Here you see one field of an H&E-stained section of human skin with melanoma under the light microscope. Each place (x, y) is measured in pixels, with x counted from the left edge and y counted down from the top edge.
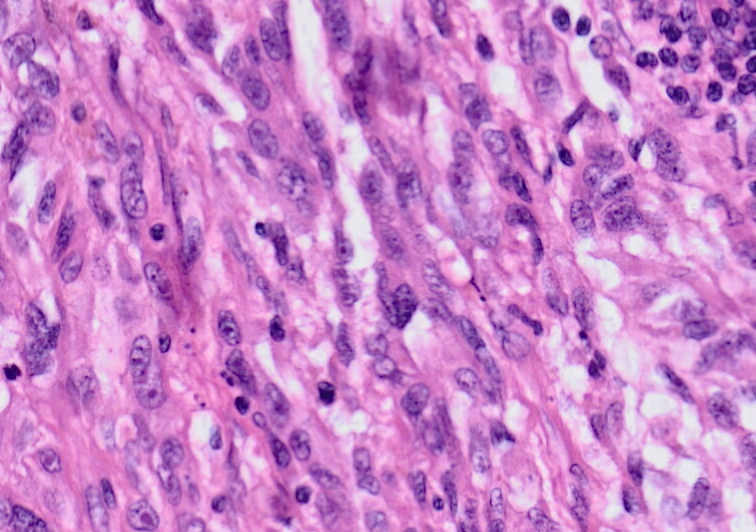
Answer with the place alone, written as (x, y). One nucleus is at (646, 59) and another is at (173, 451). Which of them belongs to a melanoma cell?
(173, 451)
